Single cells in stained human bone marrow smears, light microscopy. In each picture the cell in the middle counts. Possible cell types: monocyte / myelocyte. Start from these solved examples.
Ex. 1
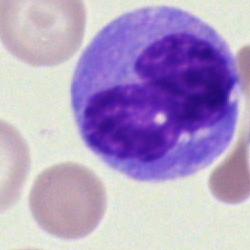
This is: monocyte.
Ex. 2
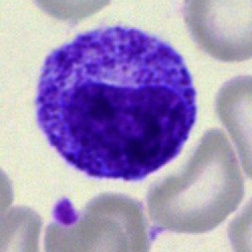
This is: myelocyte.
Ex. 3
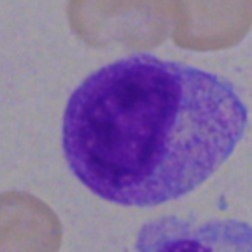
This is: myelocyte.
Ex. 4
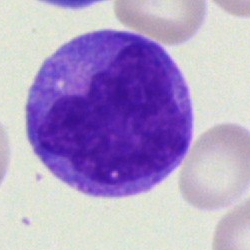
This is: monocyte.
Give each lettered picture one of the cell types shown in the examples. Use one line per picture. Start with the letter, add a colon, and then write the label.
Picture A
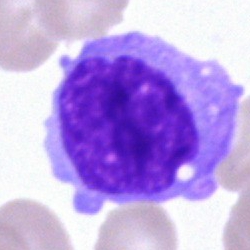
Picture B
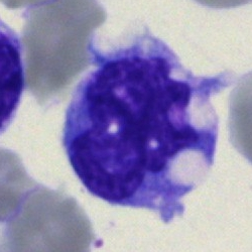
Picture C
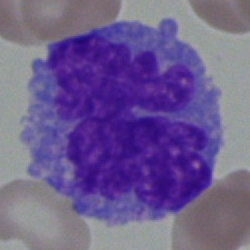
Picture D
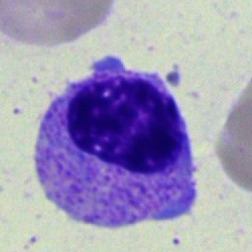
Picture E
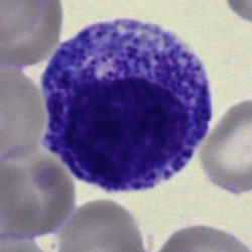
A: monocyte.
B: monocyte.
C: monocyte.
D: myelocyte.
E: myelocyte.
